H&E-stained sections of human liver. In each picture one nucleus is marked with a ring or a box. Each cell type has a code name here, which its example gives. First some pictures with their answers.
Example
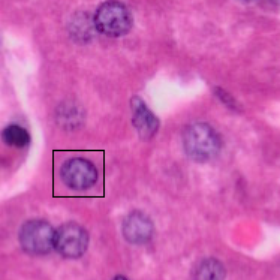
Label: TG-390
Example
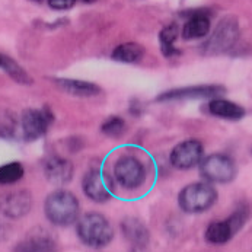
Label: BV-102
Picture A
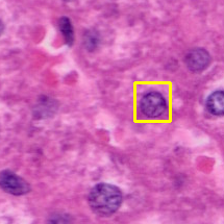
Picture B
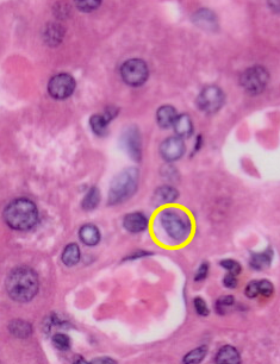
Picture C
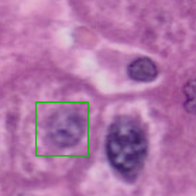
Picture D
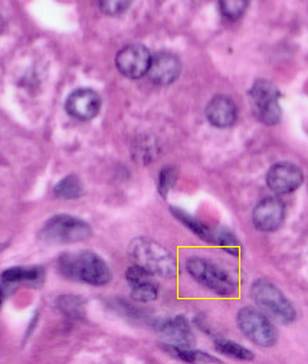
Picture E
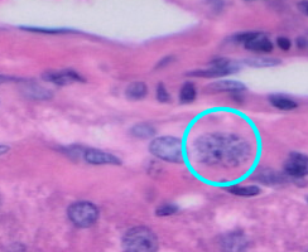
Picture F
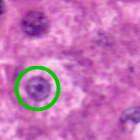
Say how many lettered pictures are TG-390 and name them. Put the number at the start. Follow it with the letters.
3: A, C, F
